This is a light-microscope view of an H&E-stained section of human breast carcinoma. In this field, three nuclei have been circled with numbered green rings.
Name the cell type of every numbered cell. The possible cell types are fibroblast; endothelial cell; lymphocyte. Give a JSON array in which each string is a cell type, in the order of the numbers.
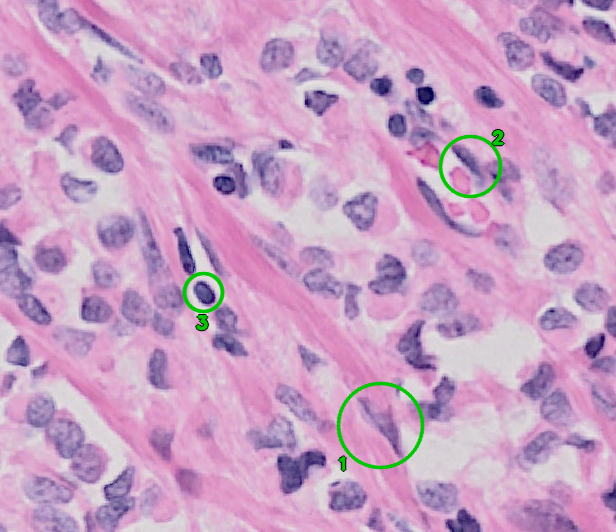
["fibroblast", "endothelial cell", "lymphocyte"]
